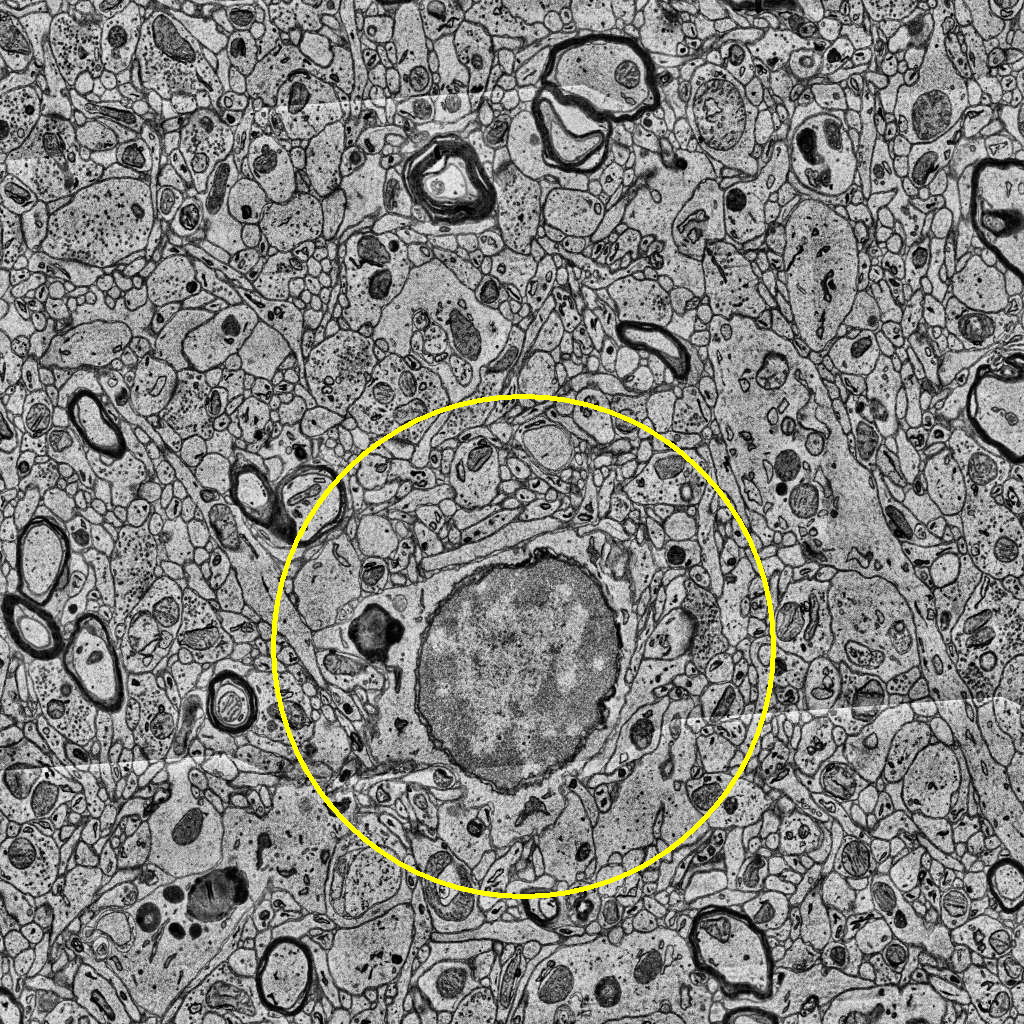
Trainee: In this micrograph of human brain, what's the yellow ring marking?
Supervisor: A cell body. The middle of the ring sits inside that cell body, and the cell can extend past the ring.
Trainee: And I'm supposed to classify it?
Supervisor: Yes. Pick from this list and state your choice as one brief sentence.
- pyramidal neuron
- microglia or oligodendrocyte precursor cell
The cell at the ring's center is a microglial cell or oligodendrocyte precursor cell.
